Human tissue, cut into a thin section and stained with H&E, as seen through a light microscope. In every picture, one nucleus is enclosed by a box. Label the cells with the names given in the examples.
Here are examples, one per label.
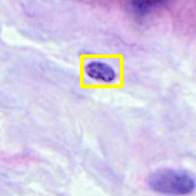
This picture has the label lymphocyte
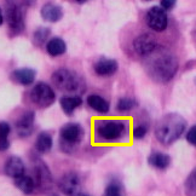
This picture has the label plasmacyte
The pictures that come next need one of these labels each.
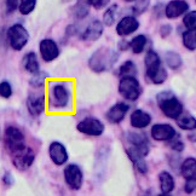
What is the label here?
lymphocyte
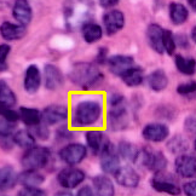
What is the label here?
lymphocyte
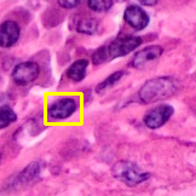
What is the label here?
plasmacyte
